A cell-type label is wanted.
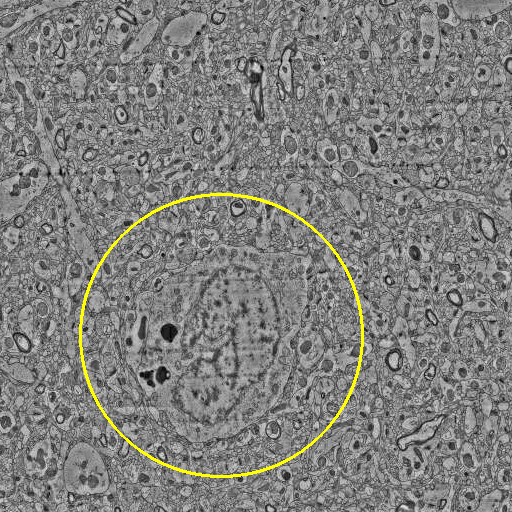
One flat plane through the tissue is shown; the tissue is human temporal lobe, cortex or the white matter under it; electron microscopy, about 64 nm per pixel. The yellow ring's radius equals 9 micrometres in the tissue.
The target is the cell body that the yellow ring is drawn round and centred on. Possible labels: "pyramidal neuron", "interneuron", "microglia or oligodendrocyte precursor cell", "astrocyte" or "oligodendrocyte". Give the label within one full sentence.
Of the labels offered, the cell in the middle of the yellow ring is an interneuron.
